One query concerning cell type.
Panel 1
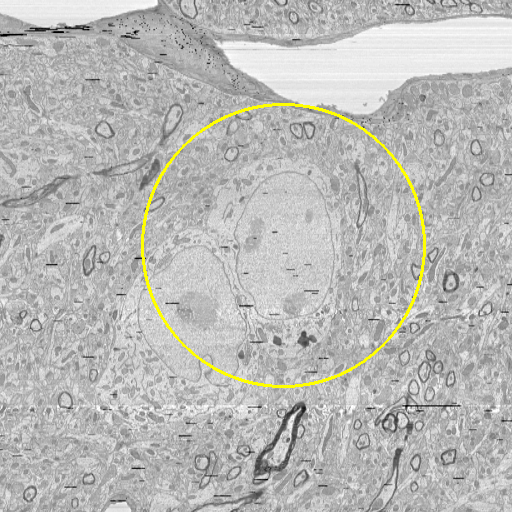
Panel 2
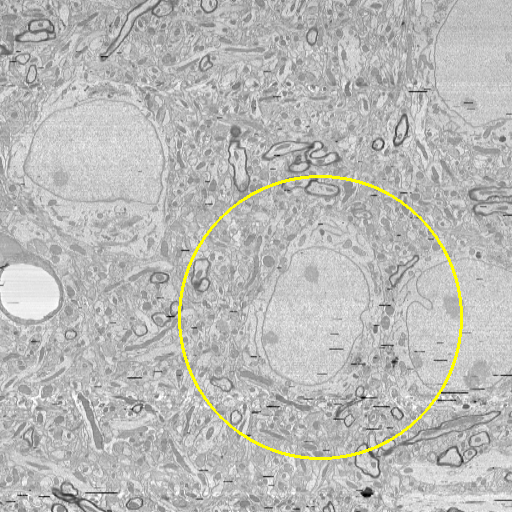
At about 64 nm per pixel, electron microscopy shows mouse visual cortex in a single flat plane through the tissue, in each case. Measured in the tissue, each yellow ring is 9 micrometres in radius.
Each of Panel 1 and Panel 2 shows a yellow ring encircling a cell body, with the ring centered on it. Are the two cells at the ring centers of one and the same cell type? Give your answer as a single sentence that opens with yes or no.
Yes, the cell centered in Panel 1 and the one in Panel 2 share a type.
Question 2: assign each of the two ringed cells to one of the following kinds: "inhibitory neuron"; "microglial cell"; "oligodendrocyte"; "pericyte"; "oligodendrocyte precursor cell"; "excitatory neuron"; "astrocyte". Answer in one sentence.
In each of the two pictures, the ringed cell is an excitatory neuron.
